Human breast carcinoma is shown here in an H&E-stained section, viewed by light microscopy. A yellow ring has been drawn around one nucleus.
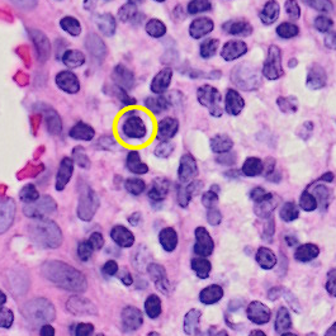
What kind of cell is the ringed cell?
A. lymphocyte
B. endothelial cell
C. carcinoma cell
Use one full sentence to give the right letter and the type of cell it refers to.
On this slide, the ringed cell is a lymphocyte, so option A is right.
